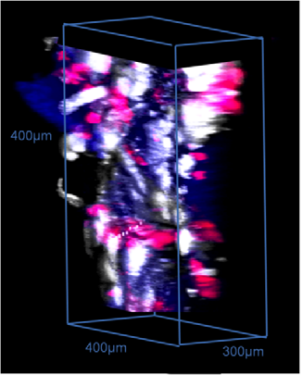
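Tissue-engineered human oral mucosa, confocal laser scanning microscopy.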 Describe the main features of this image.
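Bright red and white fluorescent bodies are scattered through the volume. They are irregular, rounded to elongated blobs rather than sharply outlined single cells. The red and white bodies are intermingled, and neither colour forms a continuous, well-defined layer.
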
